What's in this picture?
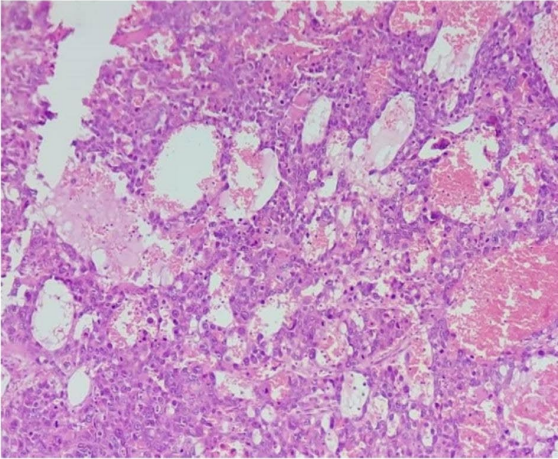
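Solid sheets of highly anaplastic tumour cells fill the field, with crowded, dark, irregular nuclei. The cells show little orderly arrangement and no glands. Numerous rounded spaces filled with red blood cells or pale material are scattered through the sheets, giving a hemorrhagic appearance.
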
